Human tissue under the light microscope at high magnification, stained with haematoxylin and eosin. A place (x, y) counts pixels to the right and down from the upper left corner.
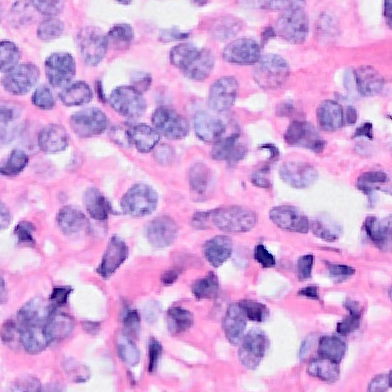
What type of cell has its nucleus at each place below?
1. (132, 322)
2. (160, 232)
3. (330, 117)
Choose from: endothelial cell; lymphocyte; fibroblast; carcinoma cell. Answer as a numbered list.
1. endothelial cell
2. carcinoma cell
3. carcinoma cell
